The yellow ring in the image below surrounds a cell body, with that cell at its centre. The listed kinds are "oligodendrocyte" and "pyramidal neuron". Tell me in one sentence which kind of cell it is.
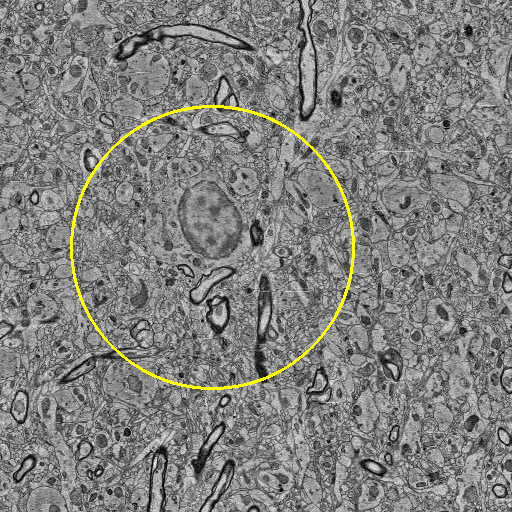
The centre of the ring holds an oligodendrocyte.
